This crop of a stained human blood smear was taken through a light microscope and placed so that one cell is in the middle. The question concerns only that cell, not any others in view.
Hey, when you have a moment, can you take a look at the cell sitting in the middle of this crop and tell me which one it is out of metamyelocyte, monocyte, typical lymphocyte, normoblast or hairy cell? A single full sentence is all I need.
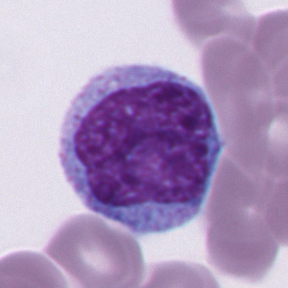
The cell in the middle of the field of view is a monocyte.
